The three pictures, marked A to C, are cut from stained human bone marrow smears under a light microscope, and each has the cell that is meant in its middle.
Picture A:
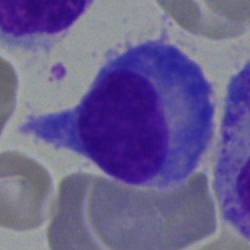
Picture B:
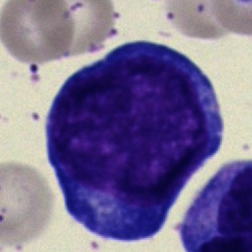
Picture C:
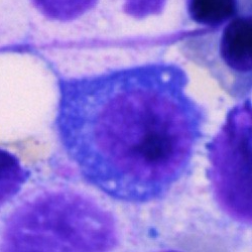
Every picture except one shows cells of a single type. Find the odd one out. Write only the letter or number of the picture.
B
